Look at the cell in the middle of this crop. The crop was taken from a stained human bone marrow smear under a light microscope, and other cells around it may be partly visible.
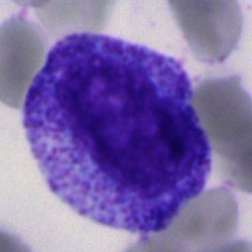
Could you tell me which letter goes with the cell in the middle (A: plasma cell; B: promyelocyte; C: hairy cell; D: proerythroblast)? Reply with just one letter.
B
